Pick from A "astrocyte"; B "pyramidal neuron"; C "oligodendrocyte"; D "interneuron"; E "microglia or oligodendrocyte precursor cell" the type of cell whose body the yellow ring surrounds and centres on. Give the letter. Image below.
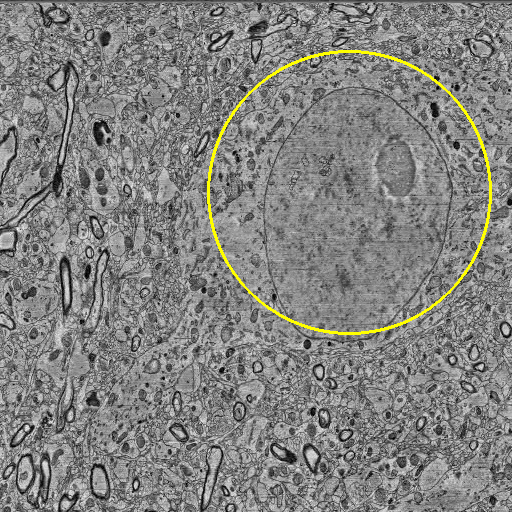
B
